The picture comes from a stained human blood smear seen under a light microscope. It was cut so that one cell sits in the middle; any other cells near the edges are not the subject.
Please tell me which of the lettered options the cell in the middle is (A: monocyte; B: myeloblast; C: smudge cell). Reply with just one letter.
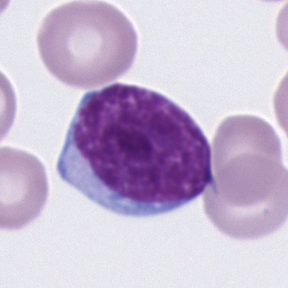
B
